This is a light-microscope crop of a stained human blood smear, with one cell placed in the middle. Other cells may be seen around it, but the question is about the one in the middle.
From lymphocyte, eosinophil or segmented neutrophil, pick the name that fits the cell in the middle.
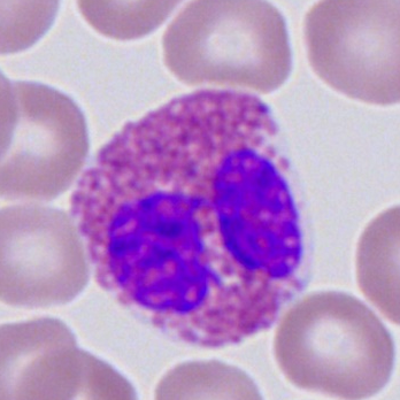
eosinophil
